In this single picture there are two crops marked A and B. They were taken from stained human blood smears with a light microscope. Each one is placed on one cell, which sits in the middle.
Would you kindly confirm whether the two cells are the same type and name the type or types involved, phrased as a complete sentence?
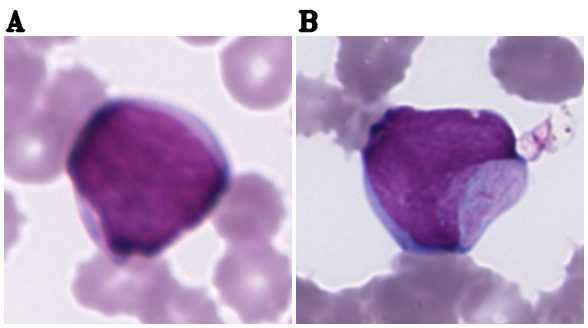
Yes, blasts are shown in both crops.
